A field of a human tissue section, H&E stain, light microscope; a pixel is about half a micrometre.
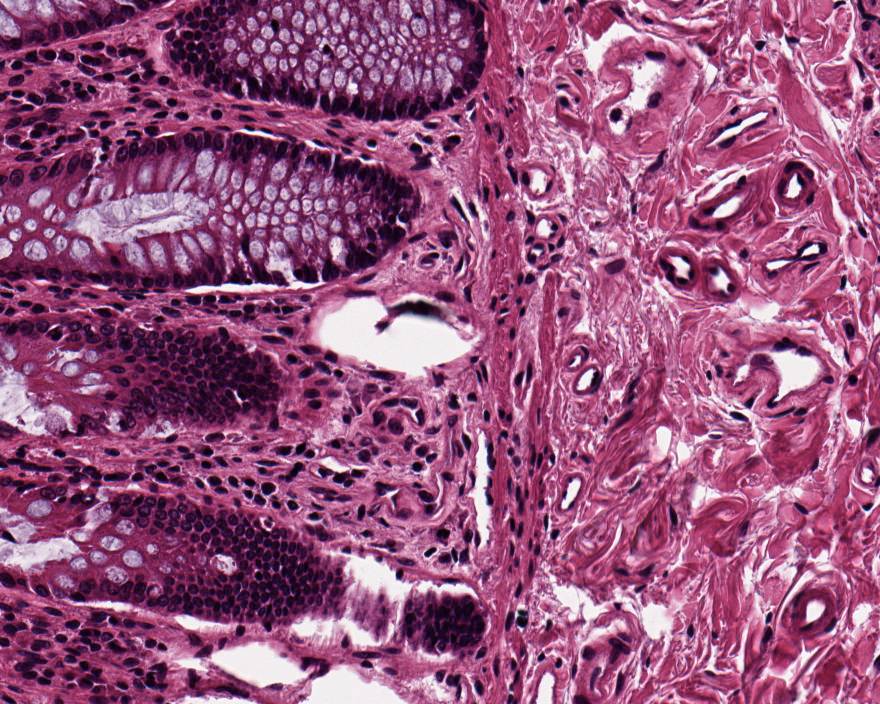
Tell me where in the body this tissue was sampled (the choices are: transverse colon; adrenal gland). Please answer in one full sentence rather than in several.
The specimen on this slide came from the transverse colon.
